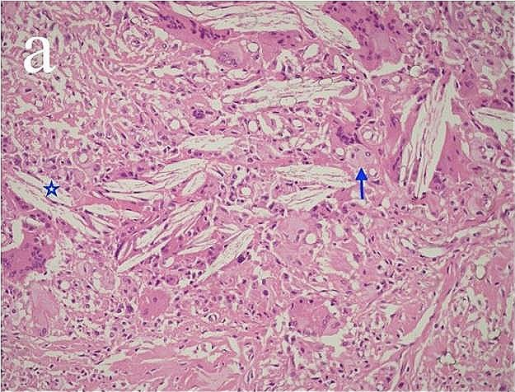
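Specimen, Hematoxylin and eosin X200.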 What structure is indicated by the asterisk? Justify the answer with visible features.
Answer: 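Cholesterol clefts. Many empty, needle-shaped, pointed slits lie scattered through the tissue. The slits are clear spaces with no staining inside them.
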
